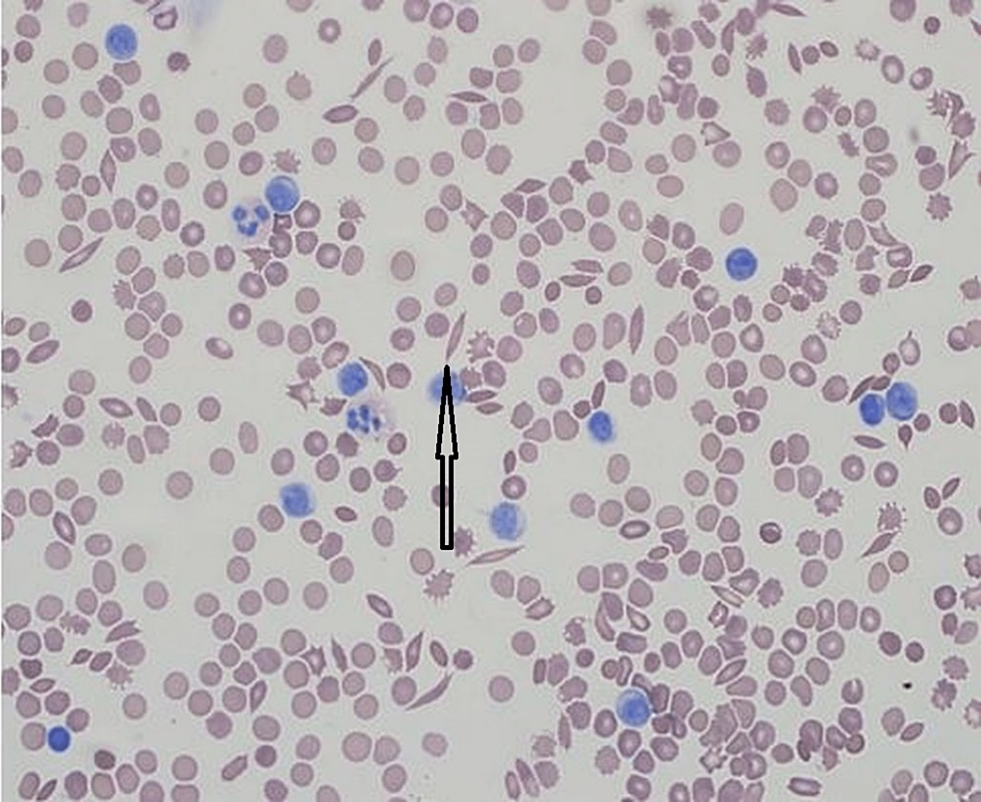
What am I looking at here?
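Cytology smear dominated by red blood cells, many of them sickle cells: elongated, crescent or spindle-shaped forms with pointed ends, lying among round pale pink red cells and cells with spiky, crenated outlines. Scattered between them are nucleated cells, mostly small round lymphocytes with dense, deep blue round nuclei and a thin rim of cytoplasm. A few larger cells with lobed, segmented nuclei and paler granular cytoplasm are also present. The background is clean and pale, and the red cells lie mostly singly or in loose clusters rather than stacked.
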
